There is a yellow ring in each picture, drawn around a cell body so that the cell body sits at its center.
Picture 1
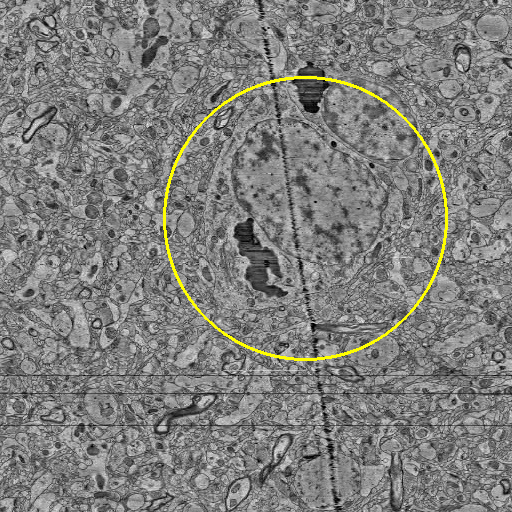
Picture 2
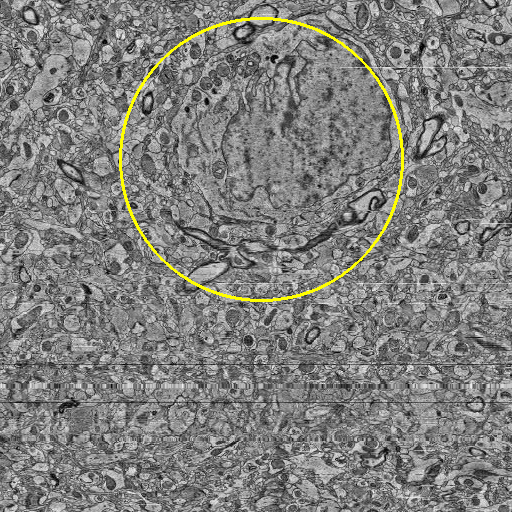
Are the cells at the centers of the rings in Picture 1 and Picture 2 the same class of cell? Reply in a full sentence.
Yes, the two cells are the same class of cell.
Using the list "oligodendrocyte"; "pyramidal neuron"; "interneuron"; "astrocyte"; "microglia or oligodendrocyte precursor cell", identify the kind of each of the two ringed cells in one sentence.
The second cell is an interneuron, just as the first is.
